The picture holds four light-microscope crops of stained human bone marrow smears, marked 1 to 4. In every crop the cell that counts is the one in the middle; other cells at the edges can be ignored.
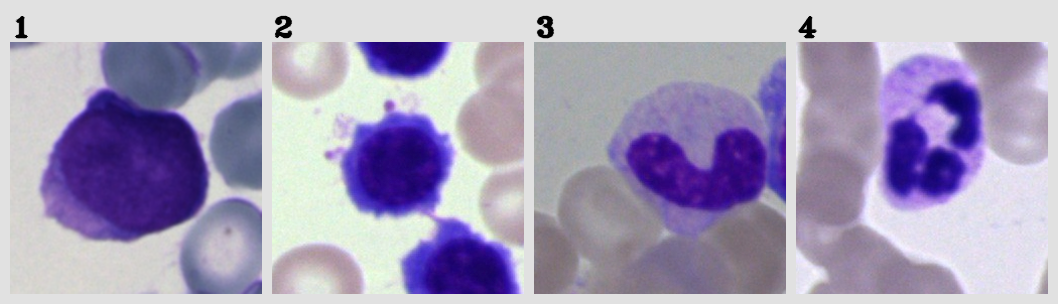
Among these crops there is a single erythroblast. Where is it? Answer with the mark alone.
2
